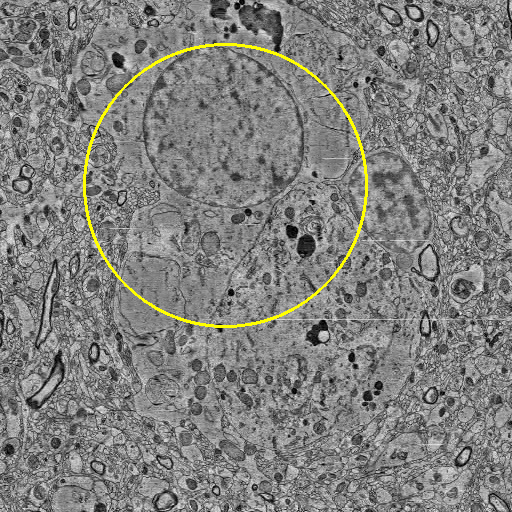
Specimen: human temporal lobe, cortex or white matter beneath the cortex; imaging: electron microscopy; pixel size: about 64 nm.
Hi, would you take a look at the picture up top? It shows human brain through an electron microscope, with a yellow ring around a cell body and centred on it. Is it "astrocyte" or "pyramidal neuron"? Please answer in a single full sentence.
The best fit for the cell in the middle of the ring is an astrocyte, I reckon.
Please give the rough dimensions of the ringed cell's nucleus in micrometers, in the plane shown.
The nucleus works out at approximately 11 by 10 micrometres in this plane.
